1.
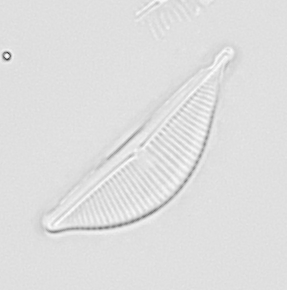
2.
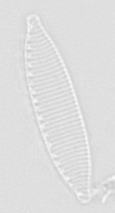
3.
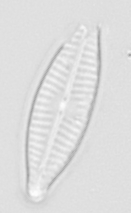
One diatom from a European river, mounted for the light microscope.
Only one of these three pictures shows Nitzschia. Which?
Picture 2.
